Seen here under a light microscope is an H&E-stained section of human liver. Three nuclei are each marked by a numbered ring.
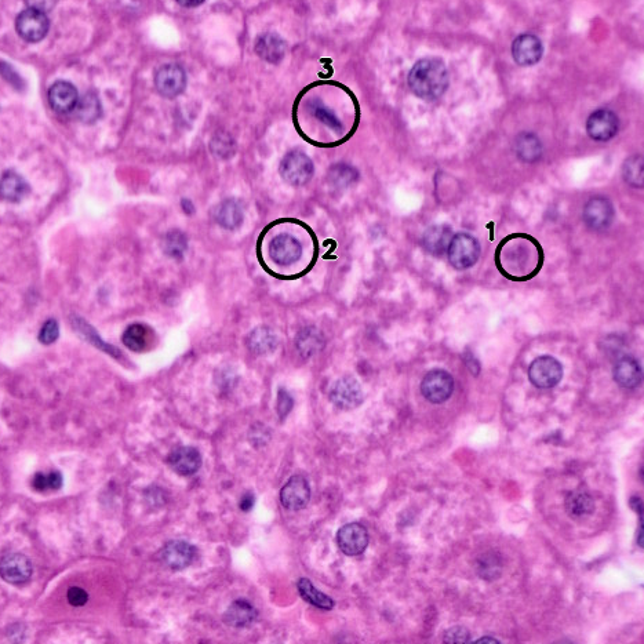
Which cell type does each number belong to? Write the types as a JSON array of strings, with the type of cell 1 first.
["hepatocyte", "hepatocyte", "endothelial cell"]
